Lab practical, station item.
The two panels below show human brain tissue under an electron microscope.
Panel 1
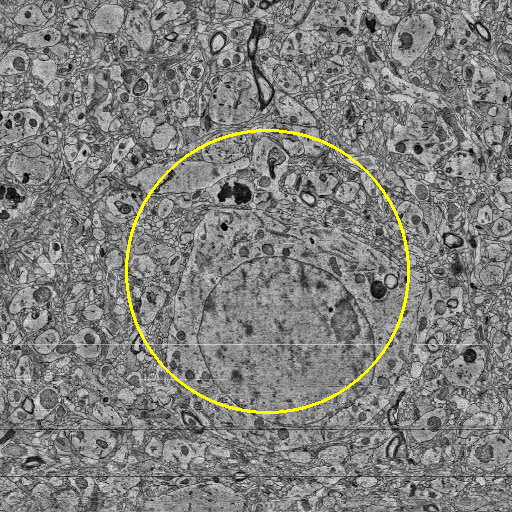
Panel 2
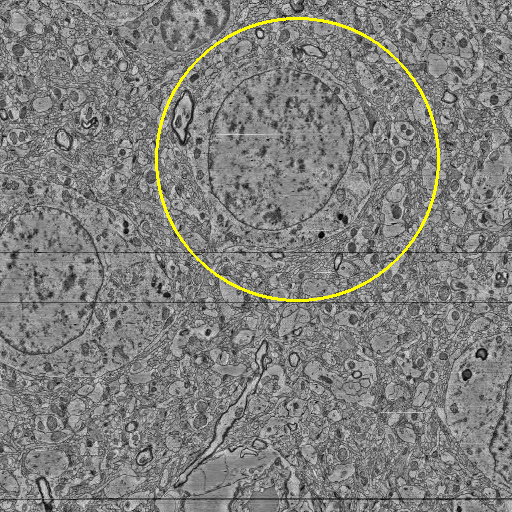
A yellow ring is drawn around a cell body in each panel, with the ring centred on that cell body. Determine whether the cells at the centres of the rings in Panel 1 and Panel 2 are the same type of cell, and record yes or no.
yes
